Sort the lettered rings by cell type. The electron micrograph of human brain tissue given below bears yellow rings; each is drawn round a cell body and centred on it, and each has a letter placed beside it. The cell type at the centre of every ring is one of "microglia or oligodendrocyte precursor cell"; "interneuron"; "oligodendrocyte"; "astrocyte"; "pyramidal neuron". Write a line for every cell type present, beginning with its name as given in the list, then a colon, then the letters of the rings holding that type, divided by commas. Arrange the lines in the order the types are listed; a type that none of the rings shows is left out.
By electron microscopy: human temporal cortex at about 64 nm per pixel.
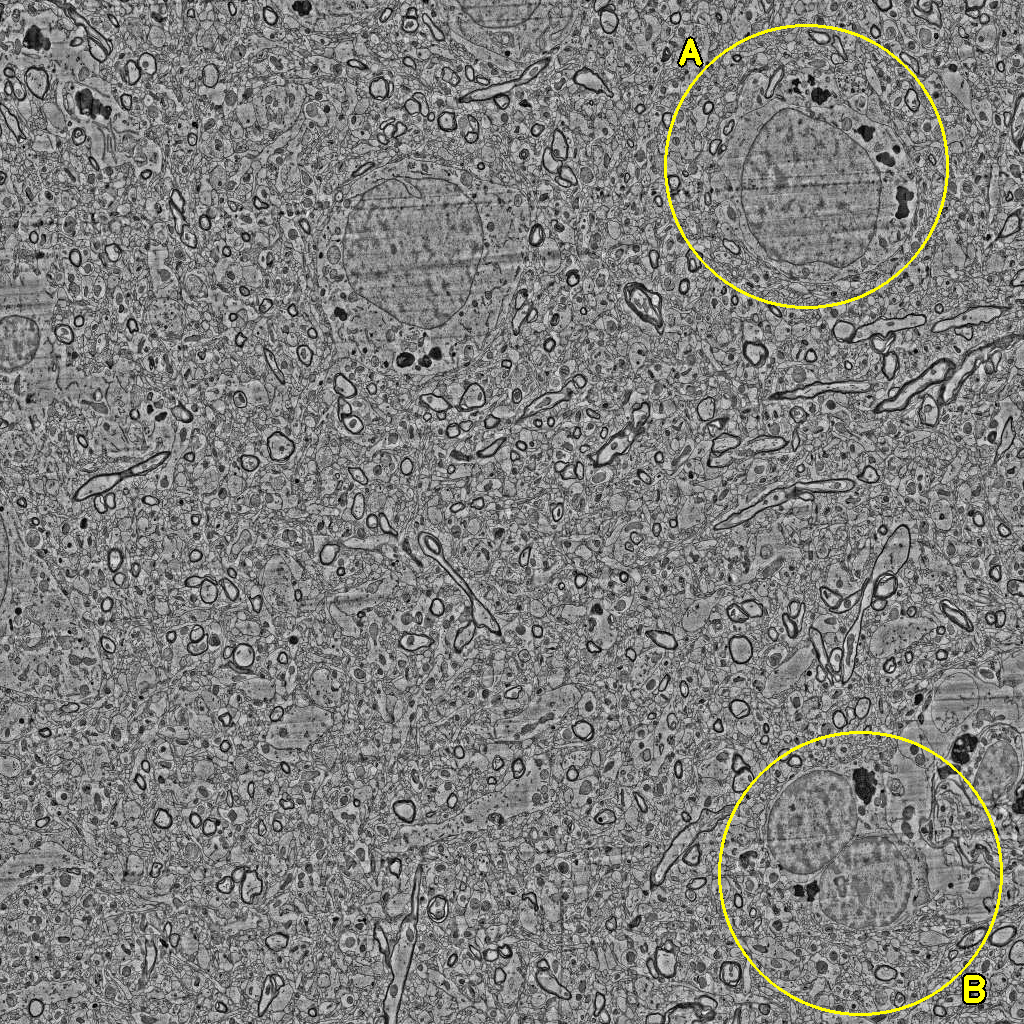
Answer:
interneuron: A
oligodendrocyte: B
